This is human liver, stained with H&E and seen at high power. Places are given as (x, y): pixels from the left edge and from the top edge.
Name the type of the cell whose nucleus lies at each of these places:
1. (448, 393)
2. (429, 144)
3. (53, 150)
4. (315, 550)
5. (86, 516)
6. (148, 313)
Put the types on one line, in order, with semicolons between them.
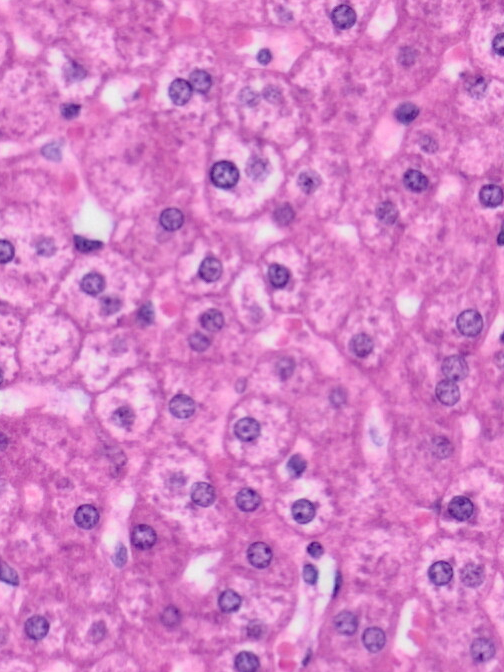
hepatocyte; hepatocyte; Kupffer cell; lymphocyte; hepatocyte; endothelial cell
